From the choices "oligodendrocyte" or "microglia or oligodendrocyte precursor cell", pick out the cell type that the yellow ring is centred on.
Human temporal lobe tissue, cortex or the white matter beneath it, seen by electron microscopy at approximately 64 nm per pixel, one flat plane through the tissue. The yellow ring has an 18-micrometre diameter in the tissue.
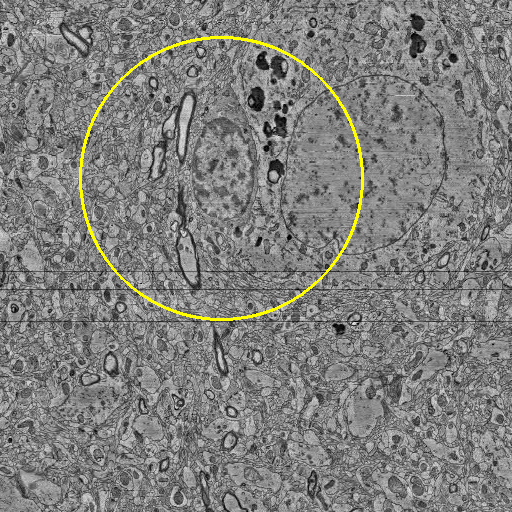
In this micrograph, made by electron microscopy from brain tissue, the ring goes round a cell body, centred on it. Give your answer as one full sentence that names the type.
The yellow ring is centred on an oligodendrocyte, whose cell body it encircles in the picture.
